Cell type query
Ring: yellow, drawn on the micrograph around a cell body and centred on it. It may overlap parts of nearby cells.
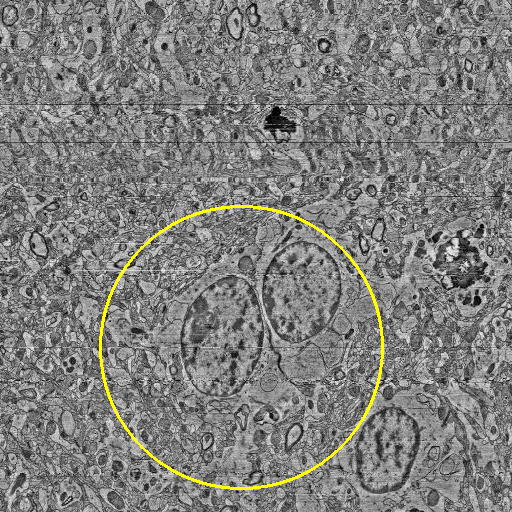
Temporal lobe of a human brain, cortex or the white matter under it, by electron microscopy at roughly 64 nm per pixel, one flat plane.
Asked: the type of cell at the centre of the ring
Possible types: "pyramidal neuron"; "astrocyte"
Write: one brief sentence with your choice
The ring marks an astrocyte.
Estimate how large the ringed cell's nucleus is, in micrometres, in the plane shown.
In this plane the nucleus is clearly longer than it is wide: roughly 8 by 5 micrometres.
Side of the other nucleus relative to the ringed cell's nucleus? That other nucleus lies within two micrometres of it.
The other nucleus sits to the upper right of it.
